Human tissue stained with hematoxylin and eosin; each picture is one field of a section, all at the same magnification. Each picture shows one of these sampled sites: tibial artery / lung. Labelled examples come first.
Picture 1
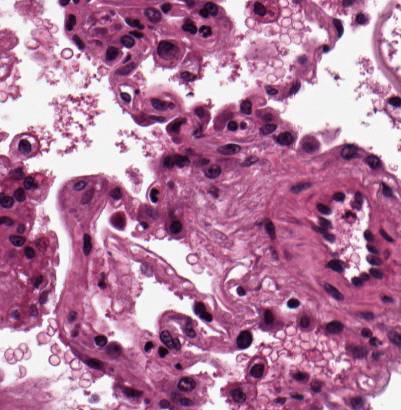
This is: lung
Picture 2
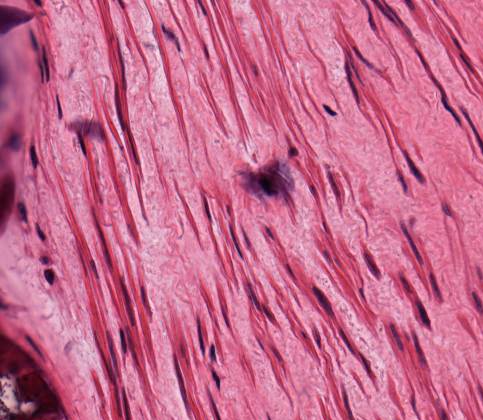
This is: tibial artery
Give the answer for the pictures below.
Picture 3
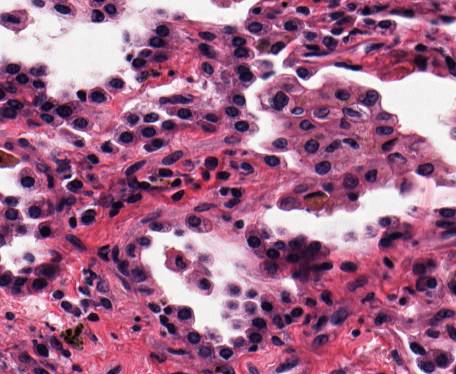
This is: lung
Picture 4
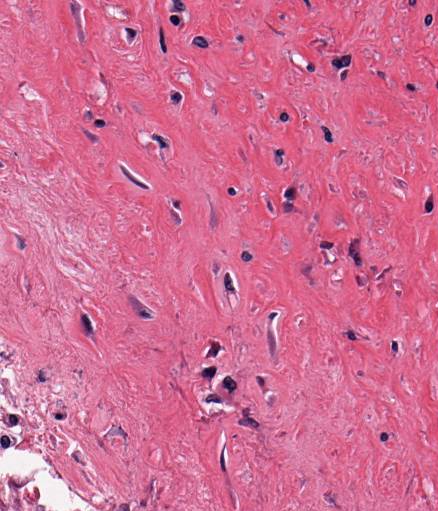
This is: tibial artery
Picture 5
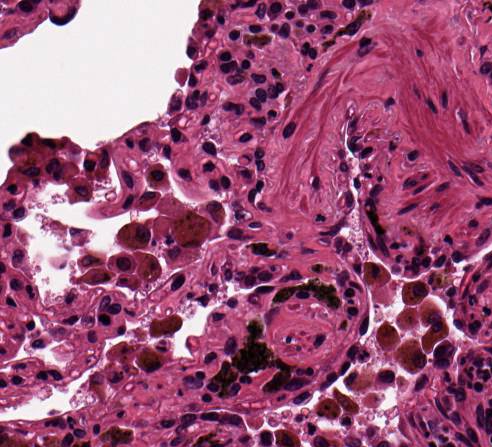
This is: lung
